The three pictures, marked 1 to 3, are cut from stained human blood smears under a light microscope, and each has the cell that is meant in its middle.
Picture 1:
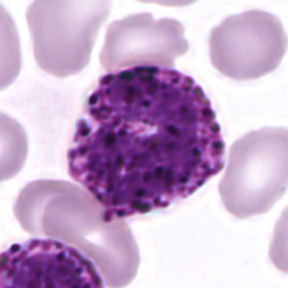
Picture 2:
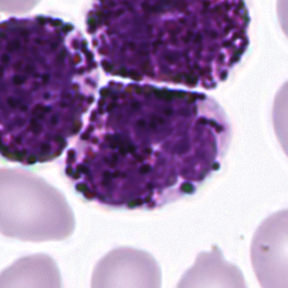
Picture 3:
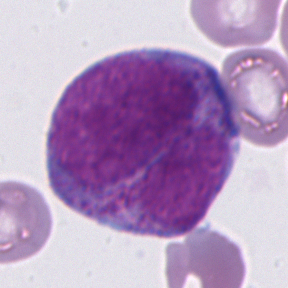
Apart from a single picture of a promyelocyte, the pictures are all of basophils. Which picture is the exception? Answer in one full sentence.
The cell in picture 3 is the promyelocyte.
